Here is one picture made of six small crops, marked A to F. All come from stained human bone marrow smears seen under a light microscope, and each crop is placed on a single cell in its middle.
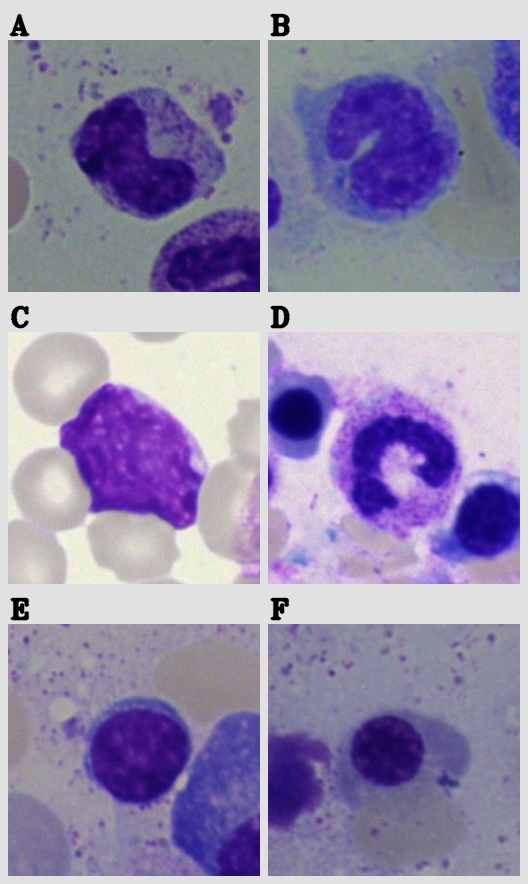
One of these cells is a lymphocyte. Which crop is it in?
E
